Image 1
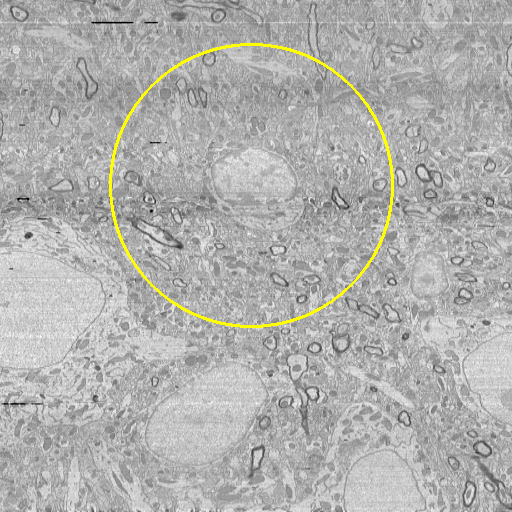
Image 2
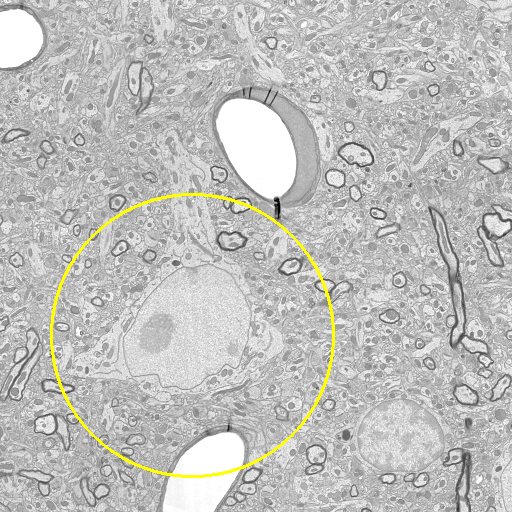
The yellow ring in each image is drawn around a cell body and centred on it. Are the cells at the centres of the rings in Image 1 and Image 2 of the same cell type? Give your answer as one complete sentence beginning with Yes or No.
No, the two cells are of two separate types.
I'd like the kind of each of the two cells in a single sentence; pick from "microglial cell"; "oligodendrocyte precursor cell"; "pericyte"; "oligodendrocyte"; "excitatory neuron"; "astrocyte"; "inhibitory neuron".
The first ring marks an oligodendrocyte, and the second ring marks an excitatory neuron.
